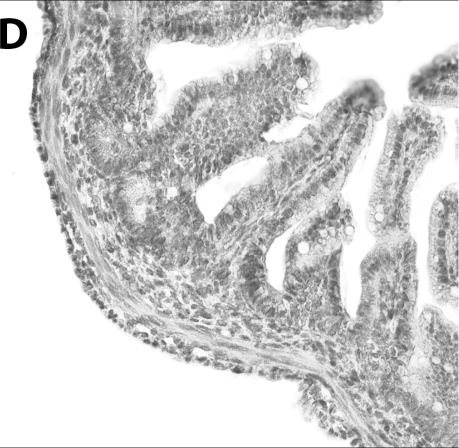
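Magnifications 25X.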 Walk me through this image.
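Part of the gut wall with villi projecting into the lumen from a thin wall of flattened layered cells. The villi are lined by a single layer of columnar epithelial cells with dark basal nuclei, among which scattered round clear vacuolated cells are seen, around a cellular core.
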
